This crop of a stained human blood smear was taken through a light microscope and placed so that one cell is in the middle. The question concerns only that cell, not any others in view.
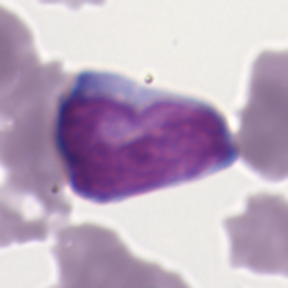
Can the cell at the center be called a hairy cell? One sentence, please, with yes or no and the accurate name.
No, the cell in the middle is a blast, not a hairy cell.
